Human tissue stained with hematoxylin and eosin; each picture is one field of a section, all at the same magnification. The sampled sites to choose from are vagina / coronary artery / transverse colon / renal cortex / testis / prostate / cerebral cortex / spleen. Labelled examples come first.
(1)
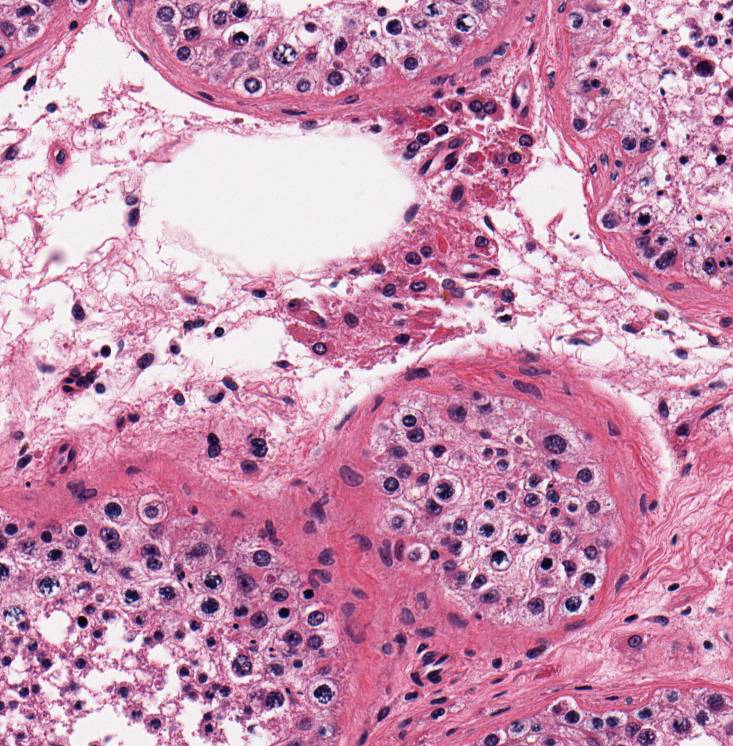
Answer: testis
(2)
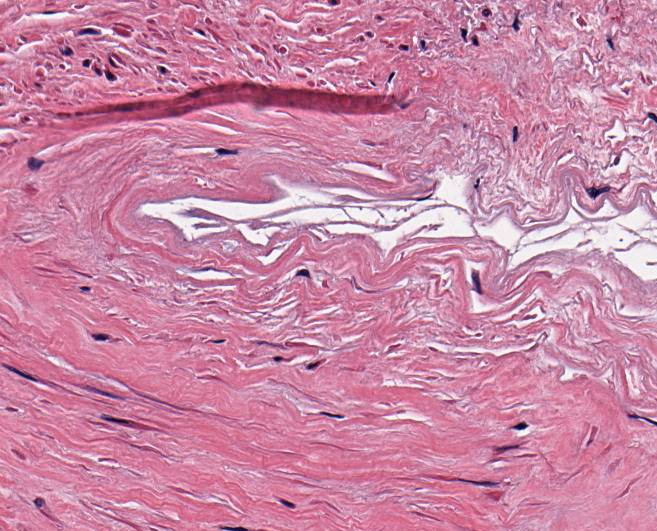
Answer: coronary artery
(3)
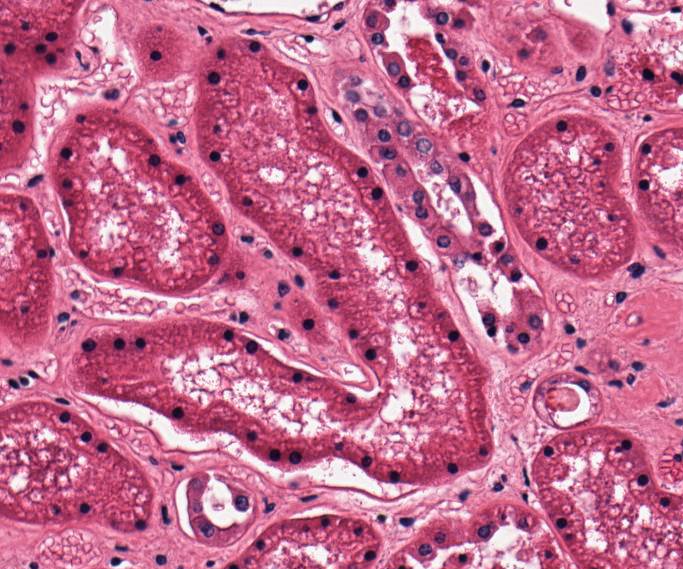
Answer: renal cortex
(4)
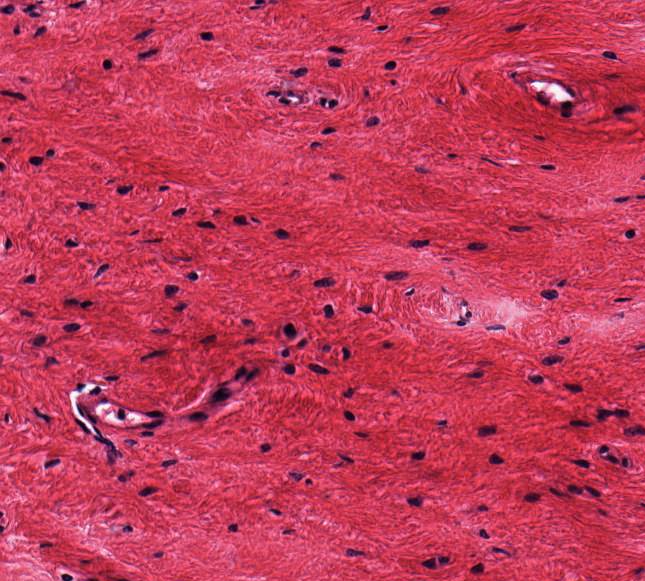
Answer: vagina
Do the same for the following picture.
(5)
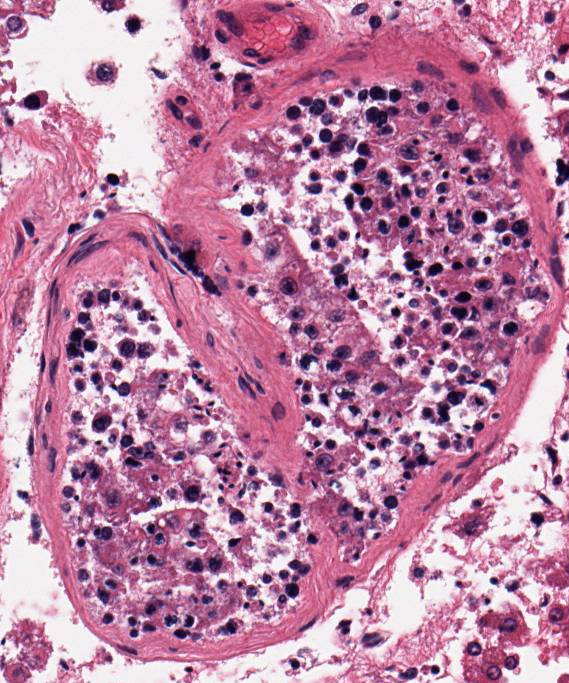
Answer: testis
